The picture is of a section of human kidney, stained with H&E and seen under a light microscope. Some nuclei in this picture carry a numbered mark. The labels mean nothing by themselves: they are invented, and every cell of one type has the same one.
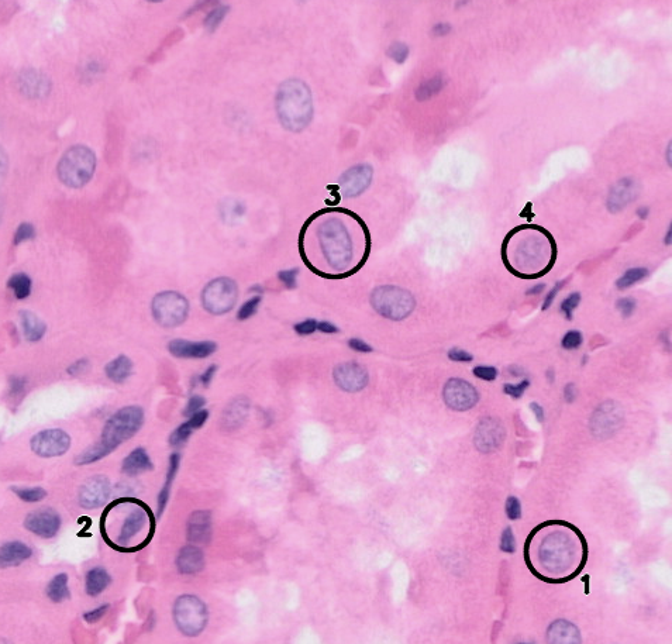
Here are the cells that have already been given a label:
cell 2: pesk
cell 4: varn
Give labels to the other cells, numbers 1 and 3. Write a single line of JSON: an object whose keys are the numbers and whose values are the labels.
{"1": "varn", "3": "varn"}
